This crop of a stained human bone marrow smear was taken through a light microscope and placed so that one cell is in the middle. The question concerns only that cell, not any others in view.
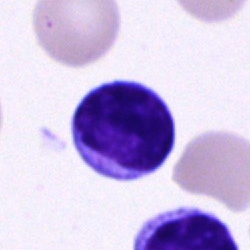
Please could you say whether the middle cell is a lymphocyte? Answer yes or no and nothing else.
yes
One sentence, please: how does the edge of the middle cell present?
In short, the margin is smooth with no projections at all.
